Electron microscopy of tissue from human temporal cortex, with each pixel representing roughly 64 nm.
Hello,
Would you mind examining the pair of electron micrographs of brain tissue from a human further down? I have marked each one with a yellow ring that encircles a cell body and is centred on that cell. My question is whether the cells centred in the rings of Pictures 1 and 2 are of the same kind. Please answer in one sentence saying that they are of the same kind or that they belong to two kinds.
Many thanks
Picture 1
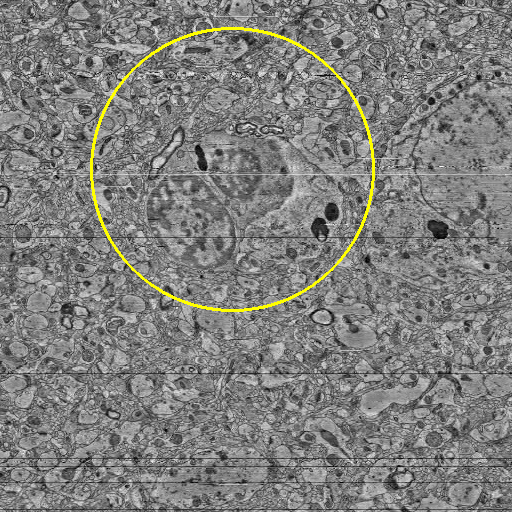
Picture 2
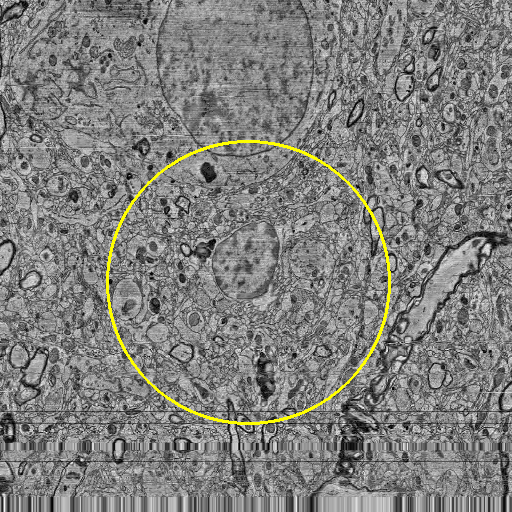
In Pictures 1 and 2, the cells at the heart of the rings belong to two kinds.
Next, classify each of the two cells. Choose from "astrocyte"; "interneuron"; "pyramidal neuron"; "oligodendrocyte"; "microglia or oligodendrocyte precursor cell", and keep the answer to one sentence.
In the first picture it is an oligodendrocyte; in the second it is a microglial cell or oligodendrocyte precursor cell.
